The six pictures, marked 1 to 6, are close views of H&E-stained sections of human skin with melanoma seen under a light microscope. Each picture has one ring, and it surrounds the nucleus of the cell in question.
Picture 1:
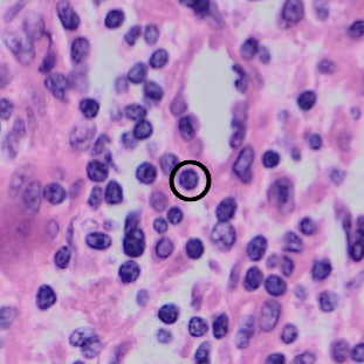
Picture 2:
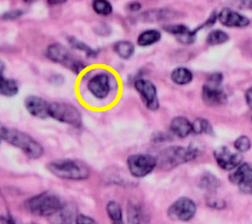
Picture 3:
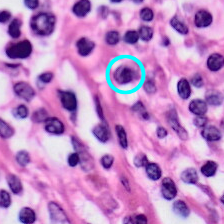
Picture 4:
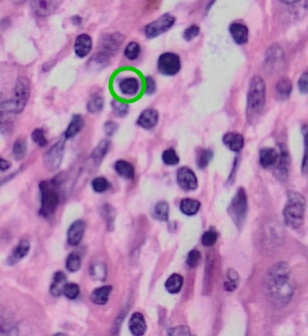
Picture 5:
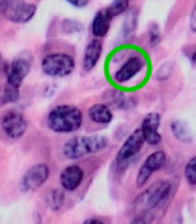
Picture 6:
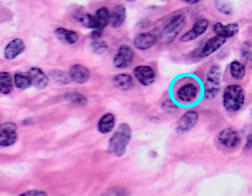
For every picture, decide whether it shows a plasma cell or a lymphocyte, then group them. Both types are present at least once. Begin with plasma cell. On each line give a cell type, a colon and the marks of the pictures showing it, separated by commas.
plasma cell: 5, 6
lymphocyte: 1, 2, 3, 4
